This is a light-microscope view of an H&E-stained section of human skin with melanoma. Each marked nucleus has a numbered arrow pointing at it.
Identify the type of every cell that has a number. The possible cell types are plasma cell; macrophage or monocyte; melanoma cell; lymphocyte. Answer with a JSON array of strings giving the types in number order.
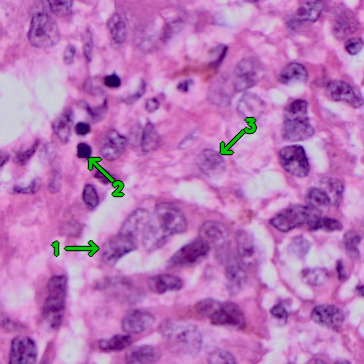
["melanoma cell", "lymphocyte", "melanoma cell"]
